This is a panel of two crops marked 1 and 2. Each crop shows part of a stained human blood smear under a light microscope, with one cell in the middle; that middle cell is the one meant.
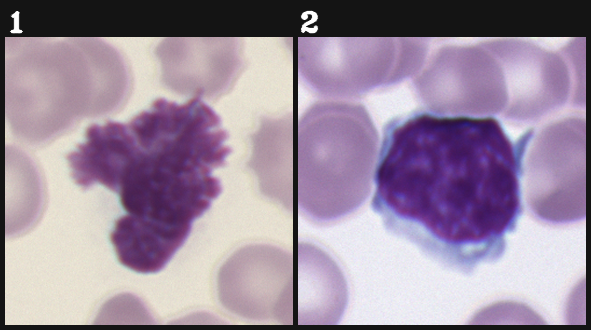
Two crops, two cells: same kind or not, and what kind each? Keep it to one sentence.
No, it is in crop 1 that a smudge cell is shown, and in crop 2 that a typical lymphocyte is shown.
